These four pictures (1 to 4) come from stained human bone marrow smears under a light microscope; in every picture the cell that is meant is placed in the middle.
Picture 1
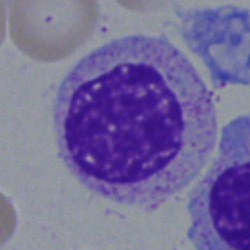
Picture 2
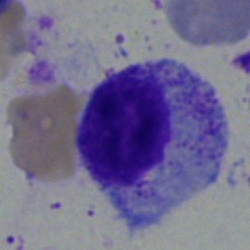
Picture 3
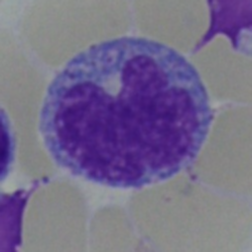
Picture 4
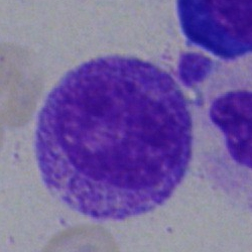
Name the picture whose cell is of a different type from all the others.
3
